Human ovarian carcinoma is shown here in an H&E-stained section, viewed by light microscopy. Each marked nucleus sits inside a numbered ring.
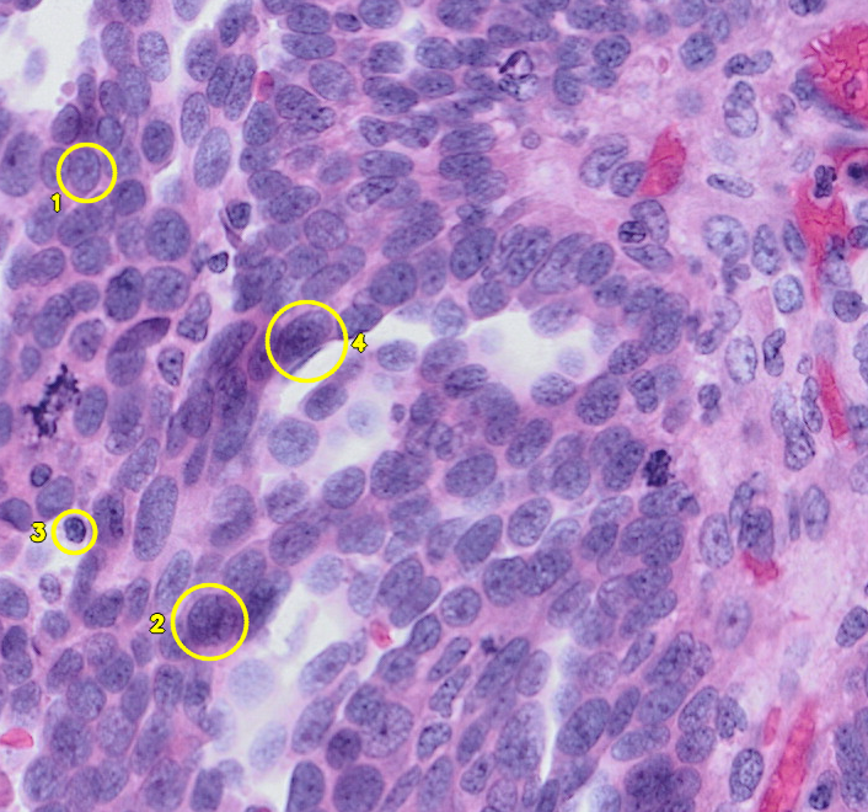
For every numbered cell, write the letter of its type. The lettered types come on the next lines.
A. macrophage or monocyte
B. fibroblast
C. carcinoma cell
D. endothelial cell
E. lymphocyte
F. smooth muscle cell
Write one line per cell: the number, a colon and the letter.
1: C
2: C
3: E
4: C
